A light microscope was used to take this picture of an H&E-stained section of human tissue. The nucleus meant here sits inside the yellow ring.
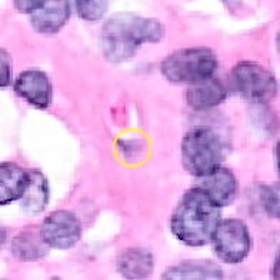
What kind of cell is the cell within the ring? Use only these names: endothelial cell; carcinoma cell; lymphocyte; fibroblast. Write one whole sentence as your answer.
The cell within the ring is an endothelial cell.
